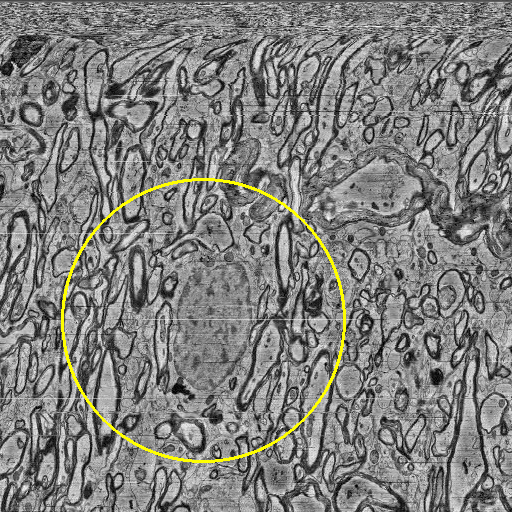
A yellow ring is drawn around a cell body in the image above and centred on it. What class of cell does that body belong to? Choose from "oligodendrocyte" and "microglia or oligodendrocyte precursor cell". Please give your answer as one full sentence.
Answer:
The yellow ring above is centred on the cell body of an oligodendrocyte.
